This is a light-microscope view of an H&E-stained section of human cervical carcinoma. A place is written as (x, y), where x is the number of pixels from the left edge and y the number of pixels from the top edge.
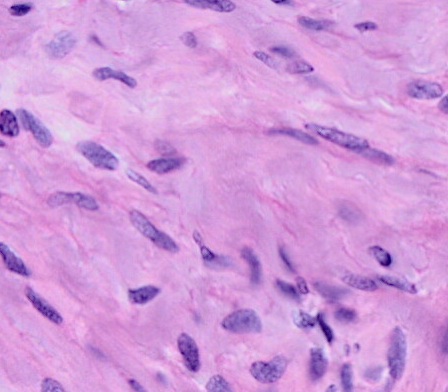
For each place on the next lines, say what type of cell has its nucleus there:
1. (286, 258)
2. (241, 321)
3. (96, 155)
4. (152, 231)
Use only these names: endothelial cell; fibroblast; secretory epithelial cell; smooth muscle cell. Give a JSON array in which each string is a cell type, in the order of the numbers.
["fibroblast", "fibroblast", "fibroblast", "smooth muscle cell"]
